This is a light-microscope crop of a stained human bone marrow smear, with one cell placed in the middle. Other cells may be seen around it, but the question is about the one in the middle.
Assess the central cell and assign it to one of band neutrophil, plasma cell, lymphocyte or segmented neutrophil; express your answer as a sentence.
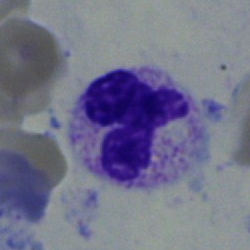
The central cell, amid any neighbouring cells, is a segmented neutrophil.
